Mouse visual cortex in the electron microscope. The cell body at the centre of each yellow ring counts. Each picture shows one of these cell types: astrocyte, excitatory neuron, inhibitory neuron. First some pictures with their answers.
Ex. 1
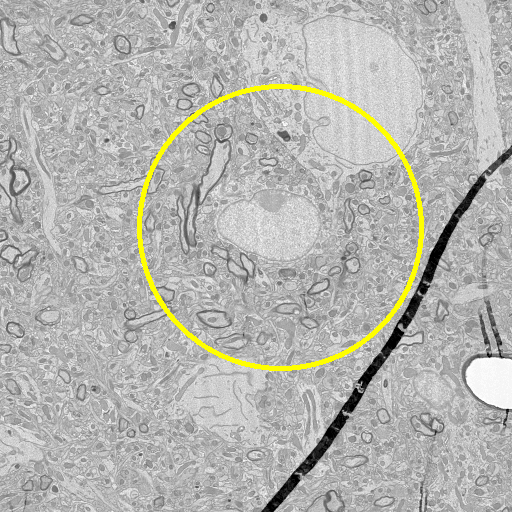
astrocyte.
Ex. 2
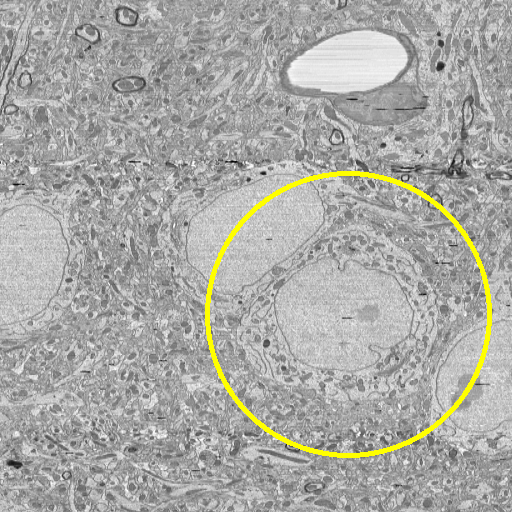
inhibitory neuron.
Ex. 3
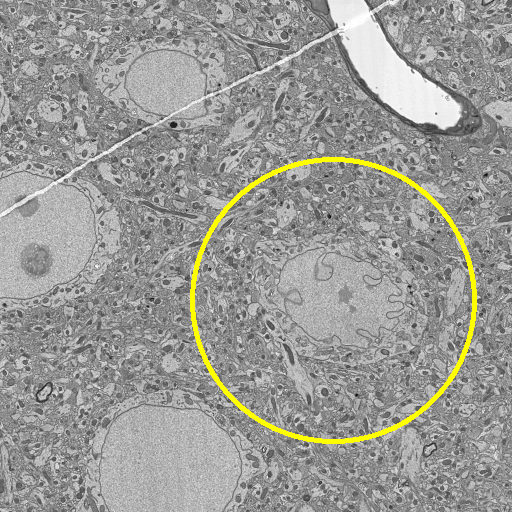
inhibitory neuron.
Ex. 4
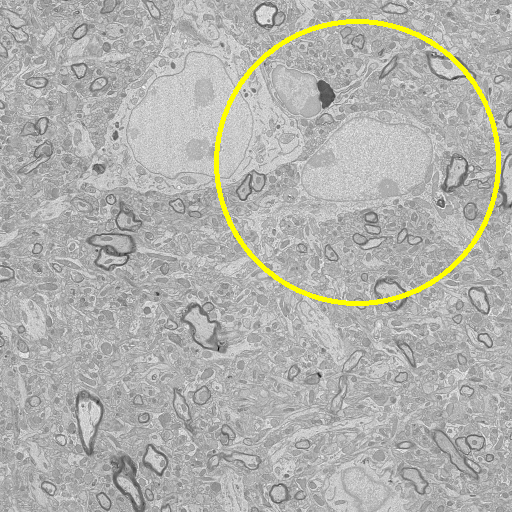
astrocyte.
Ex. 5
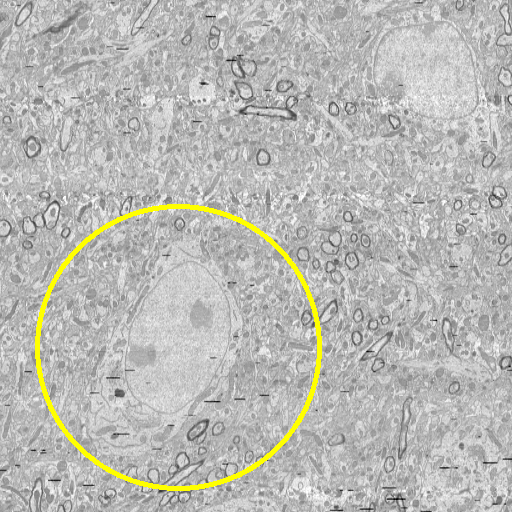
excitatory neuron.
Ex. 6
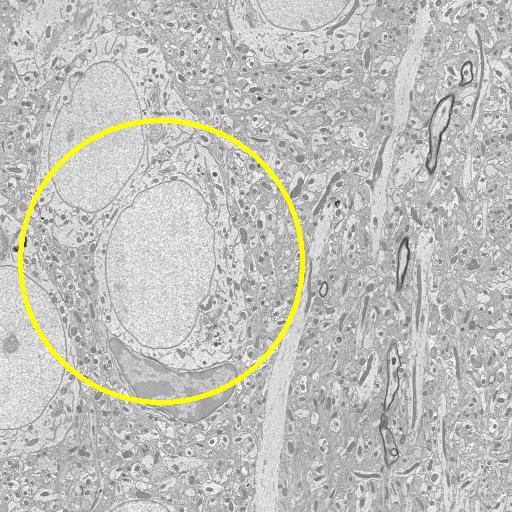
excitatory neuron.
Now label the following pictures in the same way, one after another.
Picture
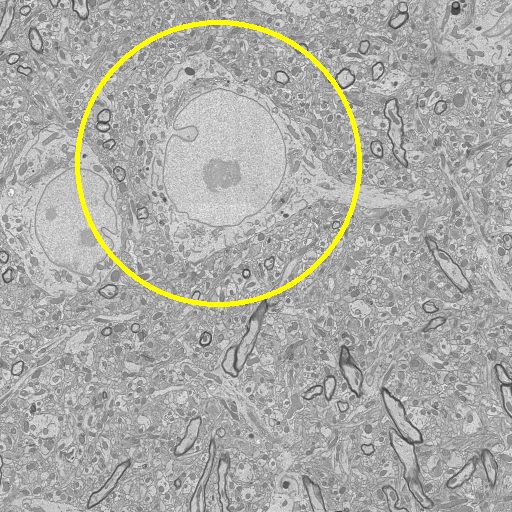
excitatory neuron.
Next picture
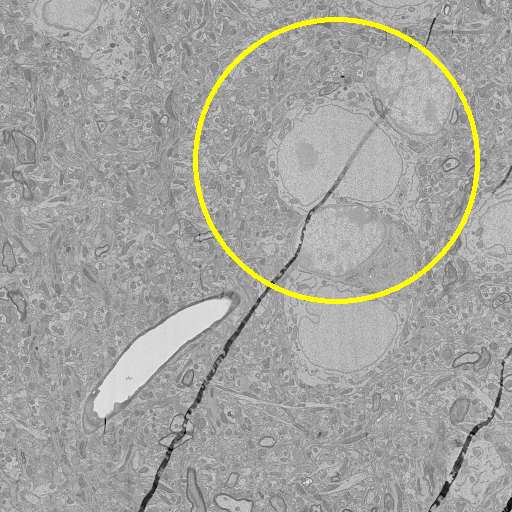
excitatory neuron.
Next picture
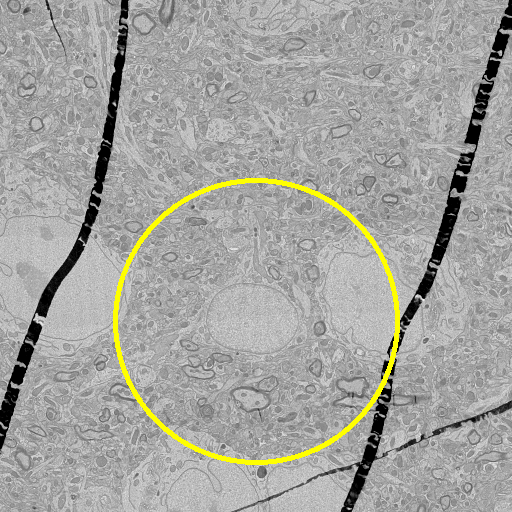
astrocyte.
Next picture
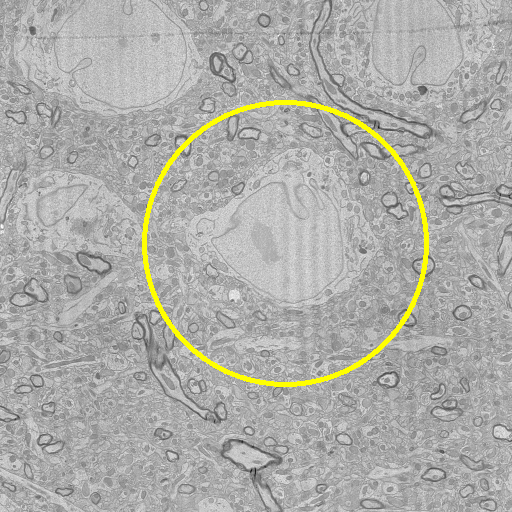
excitatory neuron.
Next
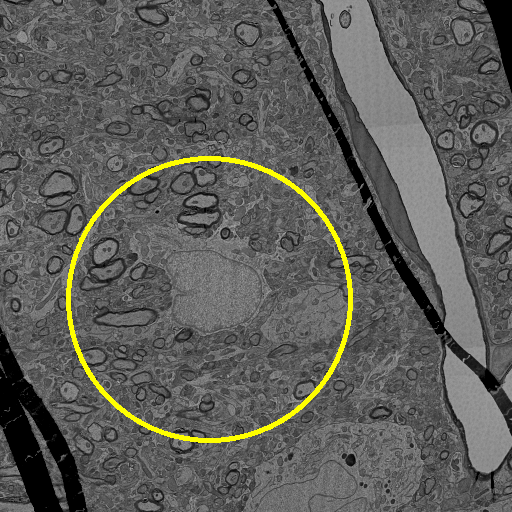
astrocyte.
